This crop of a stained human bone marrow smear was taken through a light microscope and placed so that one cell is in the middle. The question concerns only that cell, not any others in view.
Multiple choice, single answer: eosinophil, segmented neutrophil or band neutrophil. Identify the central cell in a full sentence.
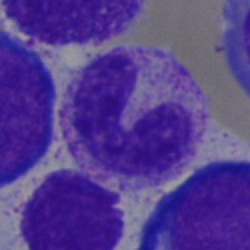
The centered cell in this crop is a band neutrophil.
